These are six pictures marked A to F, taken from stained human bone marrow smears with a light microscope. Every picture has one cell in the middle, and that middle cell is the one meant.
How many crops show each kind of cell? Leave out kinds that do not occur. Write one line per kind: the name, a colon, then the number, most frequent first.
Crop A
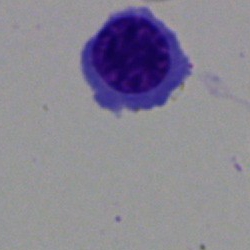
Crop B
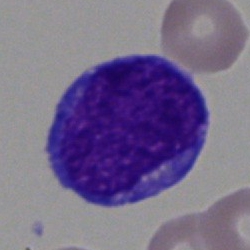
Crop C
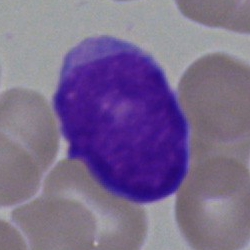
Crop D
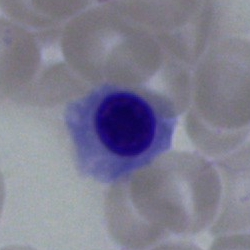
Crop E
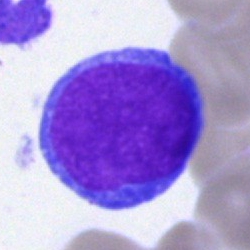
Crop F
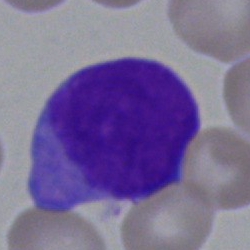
blast: 4
erythroblast: 2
